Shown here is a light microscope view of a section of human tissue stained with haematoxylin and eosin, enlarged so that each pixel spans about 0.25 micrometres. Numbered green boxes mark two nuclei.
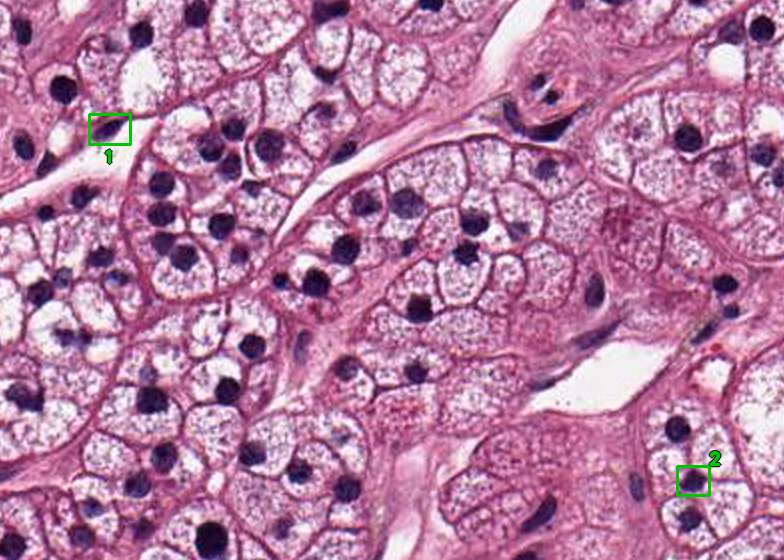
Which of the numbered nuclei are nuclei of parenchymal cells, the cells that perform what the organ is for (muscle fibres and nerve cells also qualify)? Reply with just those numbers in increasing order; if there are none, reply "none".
2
